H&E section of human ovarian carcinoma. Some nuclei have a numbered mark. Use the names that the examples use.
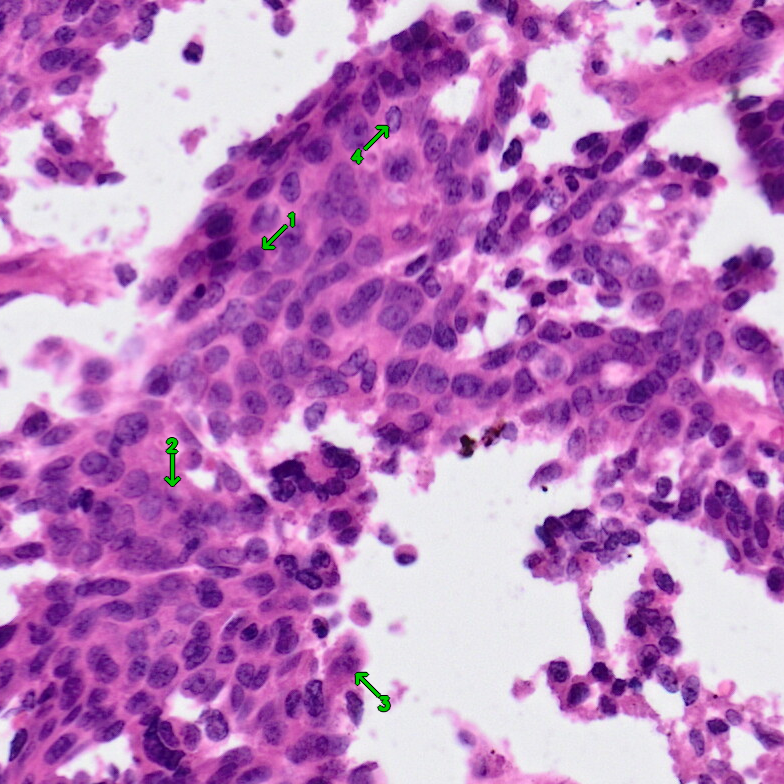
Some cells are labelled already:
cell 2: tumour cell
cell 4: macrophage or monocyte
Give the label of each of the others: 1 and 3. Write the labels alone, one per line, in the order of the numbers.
tumour cell
tumour cell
